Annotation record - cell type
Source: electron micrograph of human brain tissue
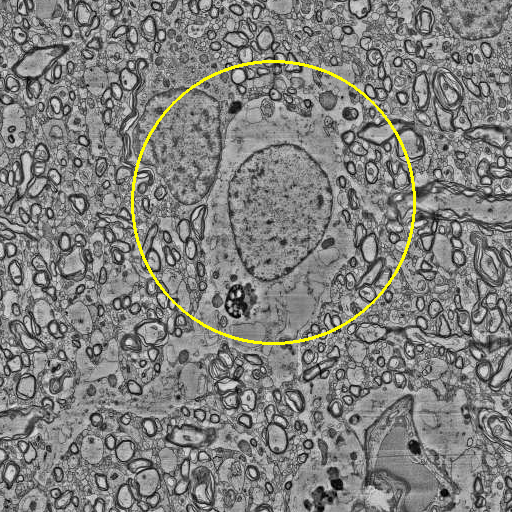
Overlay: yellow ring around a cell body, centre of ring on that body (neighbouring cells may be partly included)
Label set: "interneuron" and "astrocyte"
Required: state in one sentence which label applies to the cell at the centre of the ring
This cell should be labelled as an astrocyte.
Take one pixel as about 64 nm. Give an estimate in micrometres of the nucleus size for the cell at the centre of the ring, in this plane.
The nucleus is approximately 9 micrometers long by 7 micrometers wide in this plane.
